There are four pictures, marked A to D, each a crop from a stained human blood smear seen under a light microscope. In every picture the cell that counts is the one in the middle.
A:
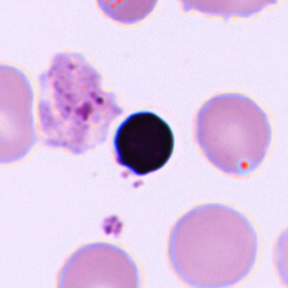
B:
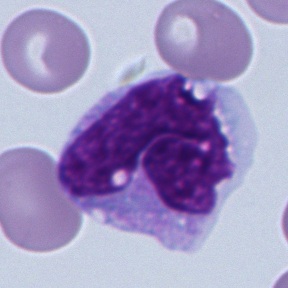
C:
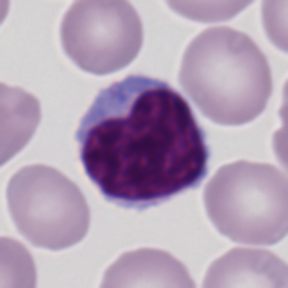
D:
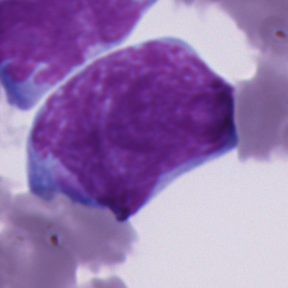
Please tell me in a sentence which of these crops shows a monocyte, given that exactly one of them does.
The one that shows a monocyte is crop B.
